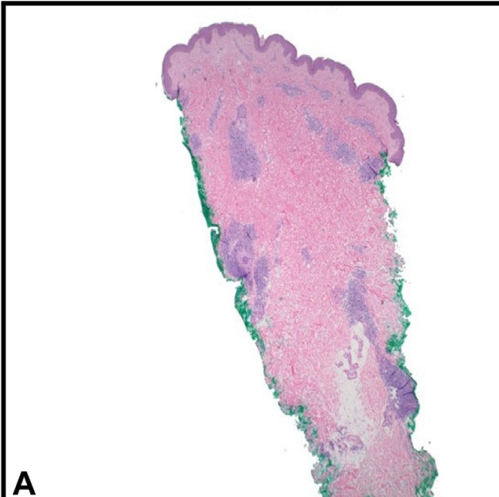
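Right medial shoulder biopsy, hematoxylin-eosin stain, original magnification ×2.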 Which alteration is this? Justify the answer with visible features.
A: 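Dermal-based lymphoid infiltrate. Dense purple nodular collections of small cells lie within the pink dermis beneath the epidermis. The collections are arranged in elongated streaks running down through the dermis.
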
